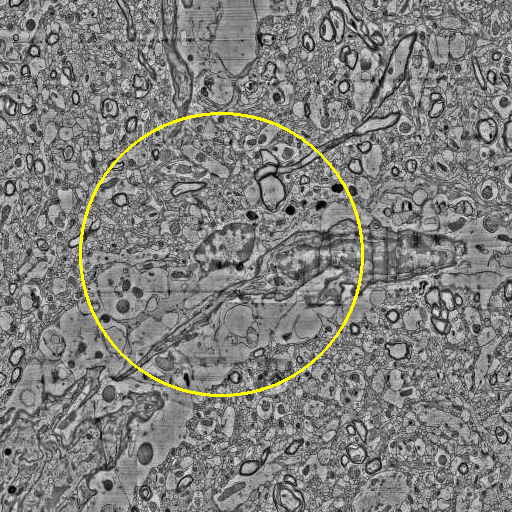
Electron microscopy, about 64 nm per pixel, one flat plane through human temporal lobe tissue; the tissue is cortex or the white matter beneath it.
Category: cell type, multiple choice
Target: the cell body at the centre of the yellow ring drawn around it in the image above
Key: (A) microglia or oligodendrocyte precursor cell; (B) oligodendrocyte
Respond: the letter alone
A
